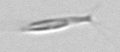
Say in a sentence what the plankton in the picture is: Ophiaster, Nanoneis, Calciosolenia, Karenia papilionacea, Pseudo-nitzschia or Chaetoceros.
This is Calciosolenia.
